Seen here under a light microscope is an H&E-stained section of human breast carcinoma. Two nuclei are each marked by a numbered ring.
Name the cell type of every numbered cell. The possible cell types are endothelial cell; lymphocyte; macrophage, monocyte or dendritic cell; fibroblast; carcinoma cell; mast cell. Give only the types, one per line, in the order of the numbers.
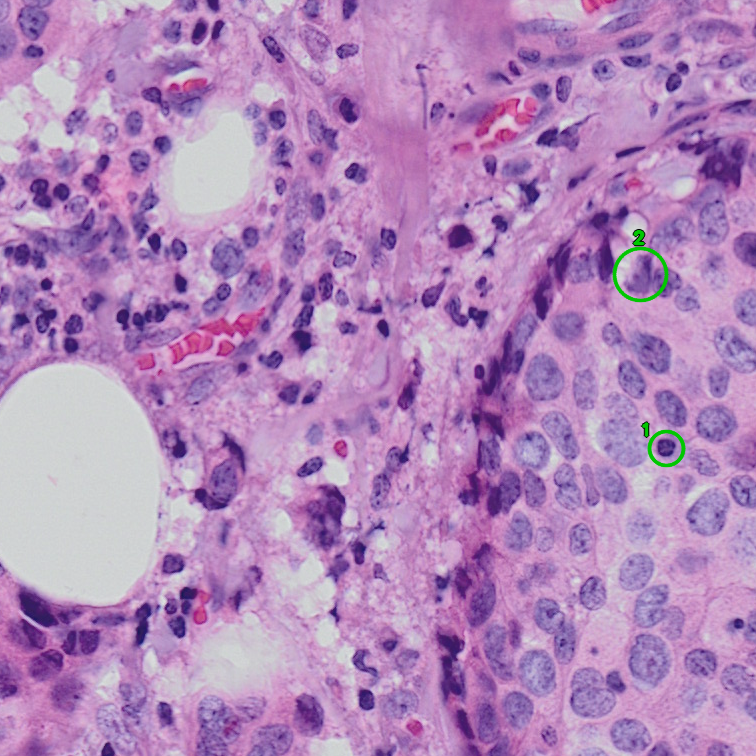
lymphocyte
carcinoma cell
